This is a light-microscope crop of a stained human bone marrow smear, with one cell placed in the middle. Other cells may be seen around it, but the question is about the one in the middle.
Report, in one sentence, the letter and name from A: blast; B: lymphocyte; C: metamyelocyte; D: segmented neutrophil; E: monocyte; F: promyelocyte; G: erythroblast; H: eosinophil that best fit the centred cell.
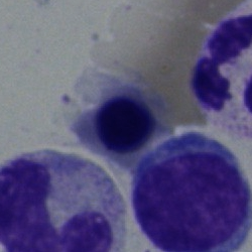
Since the cell in the centre is an erythroblast, the correct option is G.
